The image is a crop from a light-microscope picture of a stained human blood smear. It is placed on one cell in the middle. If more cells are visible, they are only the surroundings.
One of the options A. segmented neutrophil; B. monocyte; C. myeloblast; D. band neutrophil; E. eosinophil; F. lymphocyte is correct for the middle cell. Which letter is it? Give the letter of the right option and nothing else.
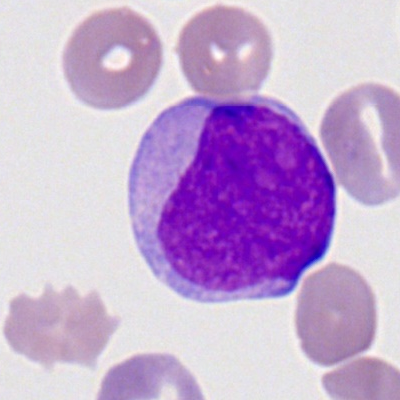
C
